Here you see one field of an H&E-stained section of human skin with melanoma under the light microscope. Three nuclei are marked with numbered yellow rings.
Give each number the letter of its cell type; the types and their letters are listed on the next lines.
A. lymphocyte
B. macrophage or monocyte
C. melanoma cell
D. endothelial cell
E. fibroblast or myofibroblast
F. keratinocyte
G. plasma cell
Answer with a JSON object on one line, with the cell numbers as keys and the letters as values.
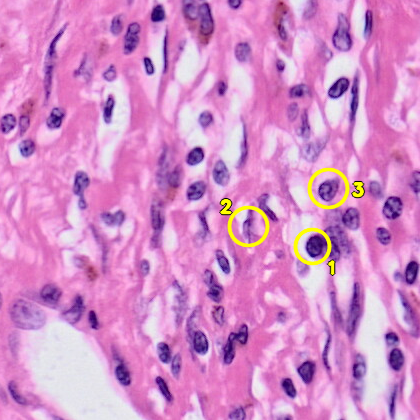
{"1": "A", "2": "E", "3": "A"}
